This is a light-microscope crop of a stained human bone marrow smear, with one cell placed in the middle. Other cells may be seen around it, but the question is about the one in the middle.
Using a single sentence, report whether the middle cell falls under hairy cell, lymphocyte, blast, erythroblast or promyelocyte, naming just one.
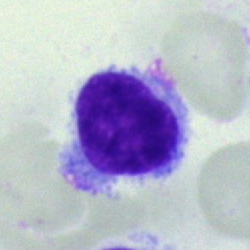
The cell shown in the center of this light-microscope crop is a hairy cell.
